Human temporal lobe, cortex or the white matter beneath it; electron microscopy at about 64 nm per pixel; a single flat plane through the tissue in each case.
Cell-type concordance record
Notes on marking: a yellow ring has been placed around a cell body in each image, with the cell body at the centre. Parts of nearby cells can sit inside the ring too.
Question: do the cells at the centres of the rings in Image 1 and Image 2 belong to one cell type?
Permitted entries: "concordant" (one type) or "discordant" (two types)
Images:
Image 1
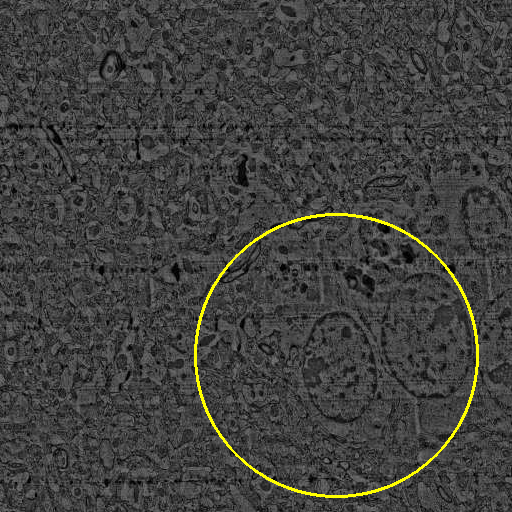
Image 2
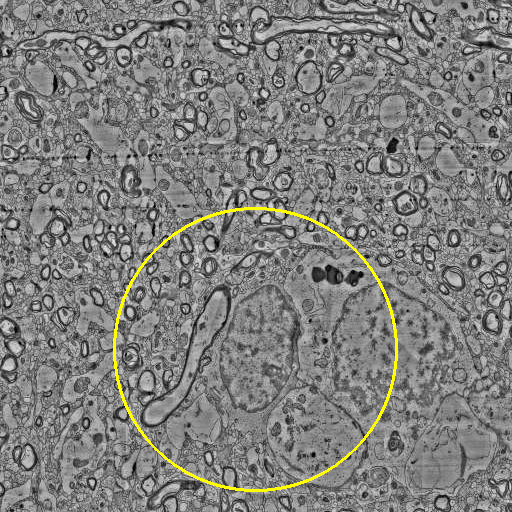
discordant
